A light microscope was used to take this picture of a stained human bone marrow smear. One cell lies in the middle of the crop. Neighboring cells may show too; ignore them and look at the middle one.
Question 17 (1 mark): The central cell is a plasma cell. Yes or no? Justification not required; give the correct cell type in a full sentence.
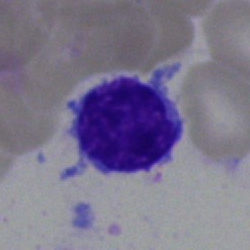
No, a lymphocyte rather than a plasma cell is the cell at the centre of the crop.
